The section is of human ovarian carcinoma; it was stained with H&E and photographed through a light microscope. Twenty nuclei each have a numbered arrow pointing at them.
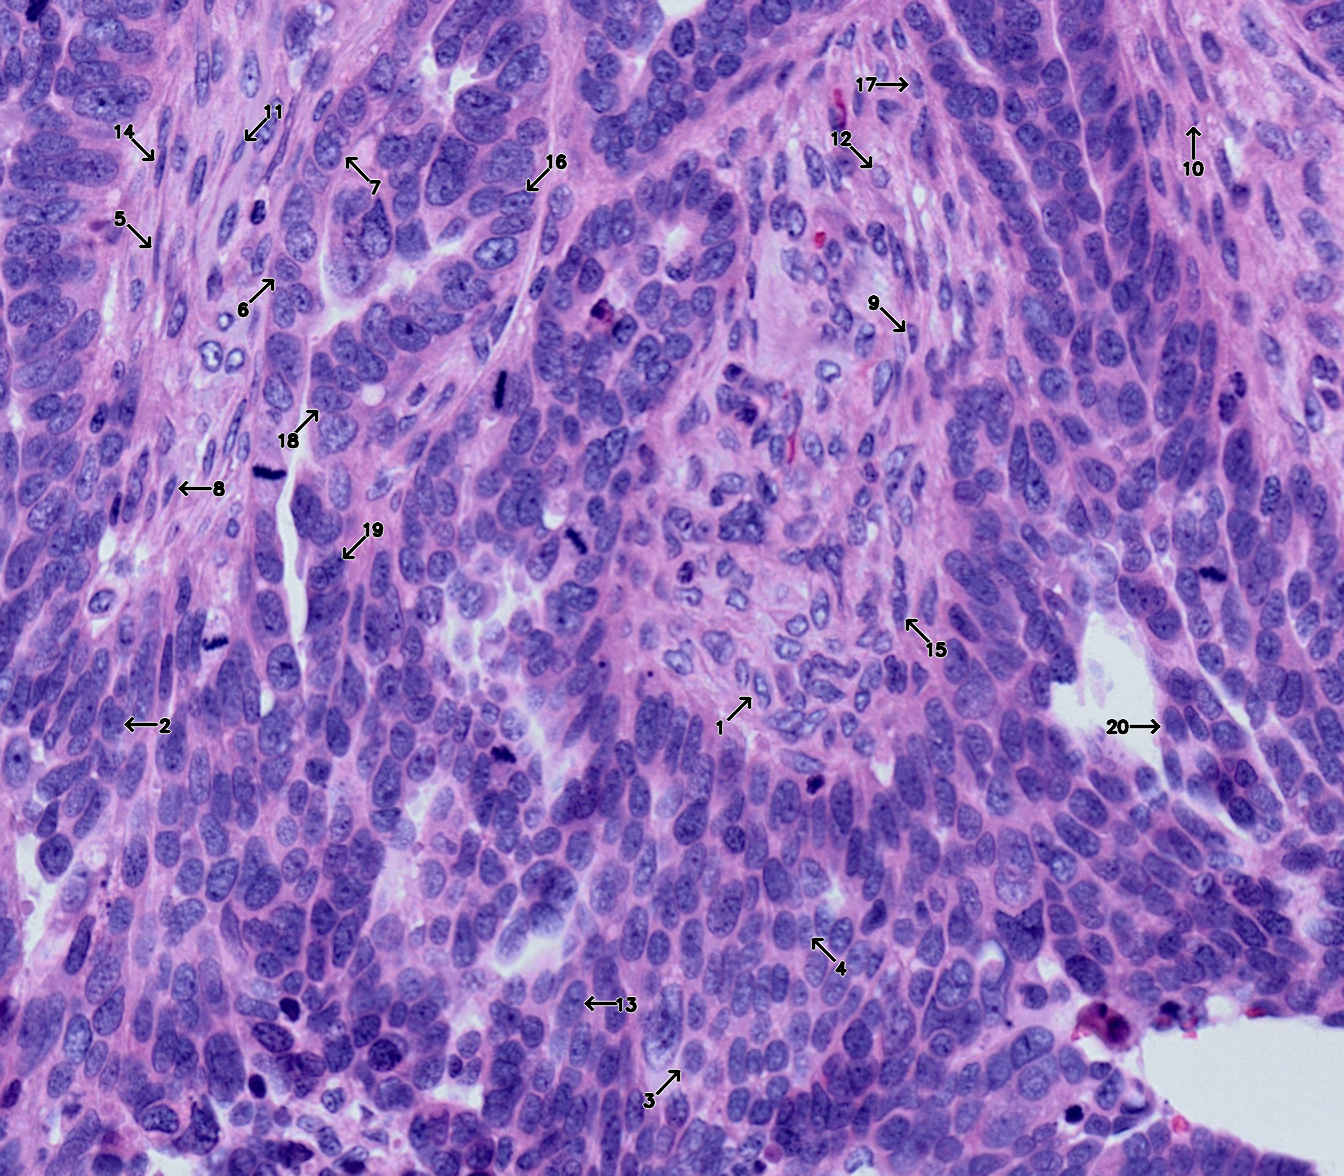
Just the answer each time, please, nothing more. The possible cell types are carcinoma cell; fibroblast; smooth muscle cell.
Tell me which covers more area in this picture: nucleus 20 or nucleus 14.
20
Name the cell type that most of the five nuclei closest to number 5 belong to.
fibroblast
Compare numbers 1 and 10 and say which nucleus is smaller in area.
10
